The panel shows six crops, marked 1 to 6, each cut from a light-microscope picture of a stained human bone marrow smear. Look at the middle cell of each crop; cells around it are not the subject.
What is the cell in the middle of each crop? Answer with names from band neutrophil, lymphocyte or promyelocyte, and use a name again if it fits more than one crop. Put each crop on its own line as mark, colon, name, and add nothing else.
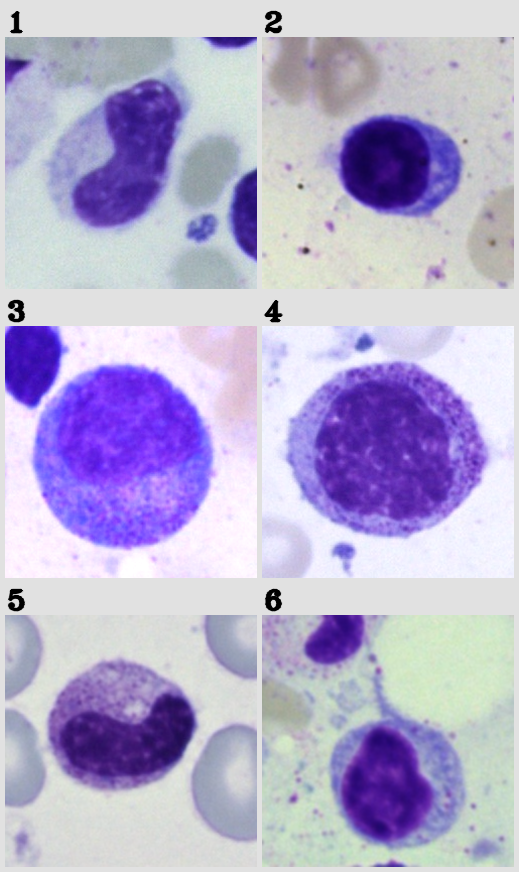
1: band neutrophil
2: lymphocyte
3: promyelocyte
4: promyelocyte
5: band neutrophil
6: lymphocyte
